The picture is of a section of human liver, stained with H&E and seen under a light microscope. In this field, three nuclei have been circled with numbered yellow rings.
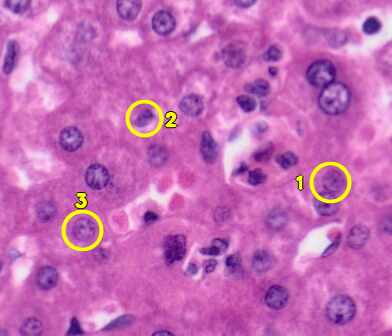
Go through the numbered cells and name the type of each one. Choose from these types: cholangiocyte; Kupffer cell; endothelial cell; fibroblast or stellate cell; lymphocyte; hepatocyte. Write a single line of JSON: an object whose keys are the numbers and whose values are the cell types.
{"1": "hepatocyte", "2": "endothelial cell", "3": "hepatocyte"}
